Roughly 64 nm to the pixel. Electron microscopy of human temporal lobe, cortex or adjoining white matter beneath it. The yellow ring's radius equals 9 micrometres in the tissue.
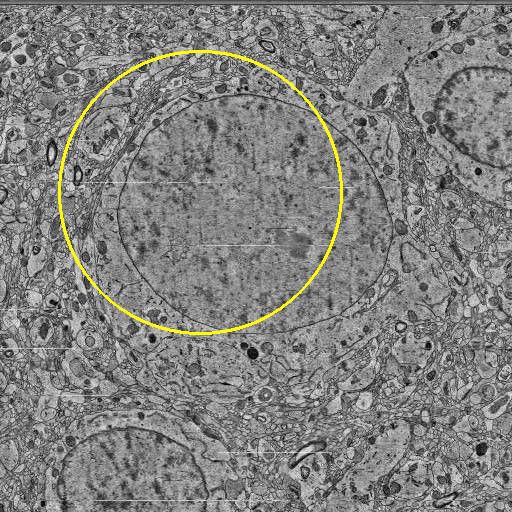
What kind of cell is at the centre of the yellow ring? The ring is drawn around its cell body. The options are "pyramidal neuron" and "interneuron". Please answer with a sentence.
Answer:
The yellow ring marks the cell body of a pyramidal neuron.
